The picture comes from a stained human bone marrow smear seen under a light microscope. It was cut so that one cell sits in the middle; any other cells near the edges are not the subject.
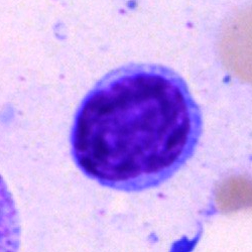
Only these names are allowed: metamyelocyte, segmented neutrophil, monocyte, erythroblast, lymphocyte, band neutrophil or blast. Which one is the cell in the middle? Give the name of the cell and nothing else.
lymphocyte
